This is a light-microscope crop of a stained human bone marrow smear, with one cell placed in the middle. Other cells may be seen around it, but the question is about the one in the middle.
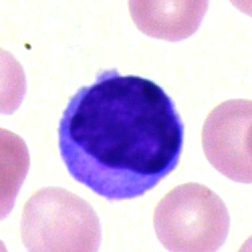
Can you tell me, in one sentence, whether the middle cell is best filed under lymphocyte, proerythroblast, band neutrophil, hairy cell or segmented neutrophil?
The centrally placed cell is classified as a lymphocyte.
